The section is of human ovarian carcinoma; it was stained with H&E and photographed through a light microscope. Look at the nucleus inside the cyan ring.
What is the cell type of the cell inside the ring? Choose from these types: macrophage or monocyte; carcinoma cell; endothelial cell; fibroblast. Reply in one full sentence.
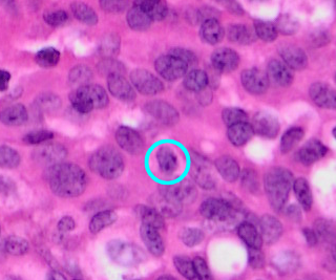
The cell inside the ring appears to be a macrophage or monocyte.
